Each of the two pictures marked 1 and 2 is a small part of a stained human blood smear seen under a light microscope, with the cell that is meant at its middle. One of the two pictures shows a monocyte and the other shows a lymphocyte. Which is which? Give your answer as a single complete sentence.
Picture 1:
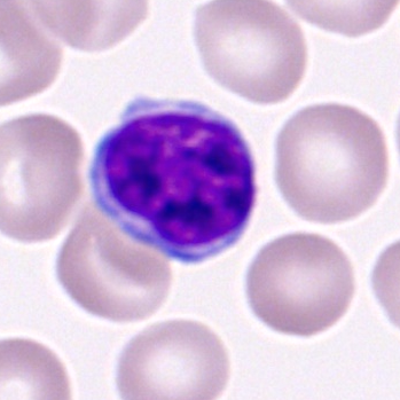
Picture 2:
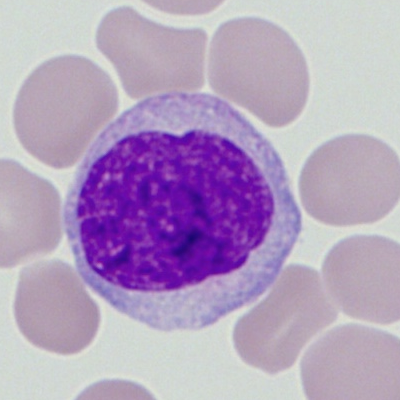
In picture 1 the cell is a lymphocyte; in picture 2, a monocyte.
